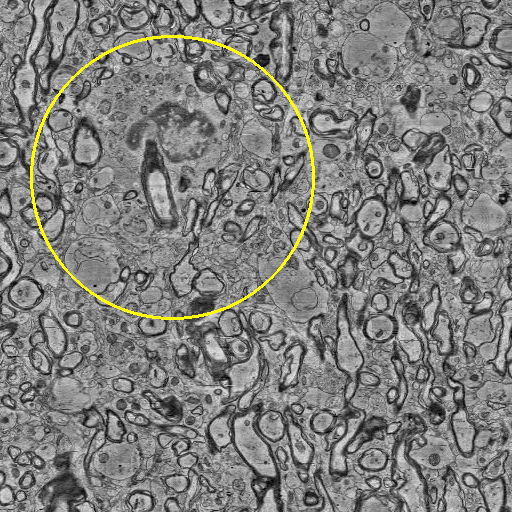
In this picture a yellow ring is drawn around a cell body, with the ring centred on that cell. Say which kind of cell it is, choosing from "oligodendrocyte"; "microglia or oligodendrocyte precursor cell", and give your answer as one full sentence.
Here it is an oligodendrocyte that sits at the centre of the drawn yellow ring.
